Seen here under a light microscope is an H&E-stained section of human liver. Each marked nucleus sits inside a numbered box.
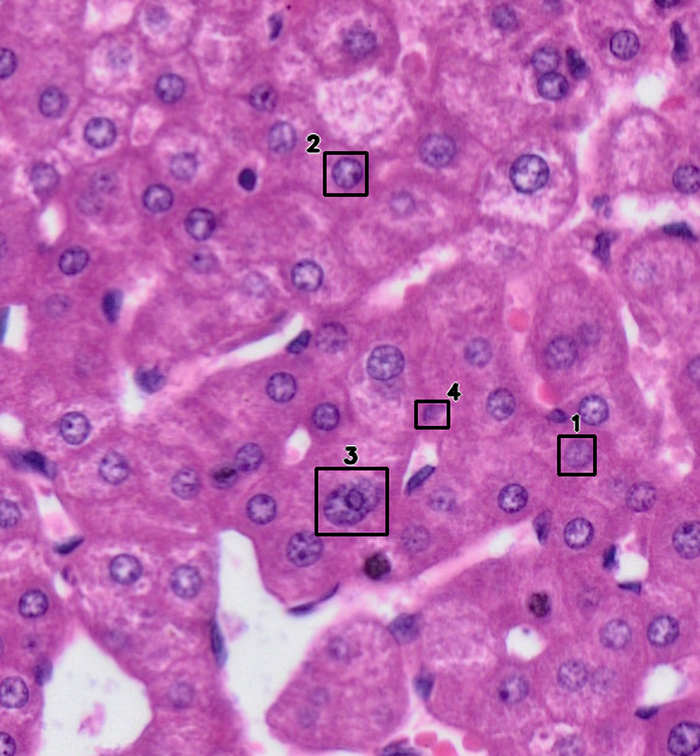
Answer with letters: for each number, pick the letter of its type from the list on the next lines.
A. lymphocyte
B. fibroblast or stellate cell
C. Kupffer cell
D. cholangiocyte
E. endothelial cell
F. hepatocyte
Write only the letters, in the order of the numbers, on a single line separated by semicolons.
F; F; F; B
